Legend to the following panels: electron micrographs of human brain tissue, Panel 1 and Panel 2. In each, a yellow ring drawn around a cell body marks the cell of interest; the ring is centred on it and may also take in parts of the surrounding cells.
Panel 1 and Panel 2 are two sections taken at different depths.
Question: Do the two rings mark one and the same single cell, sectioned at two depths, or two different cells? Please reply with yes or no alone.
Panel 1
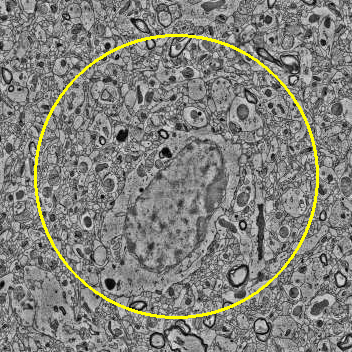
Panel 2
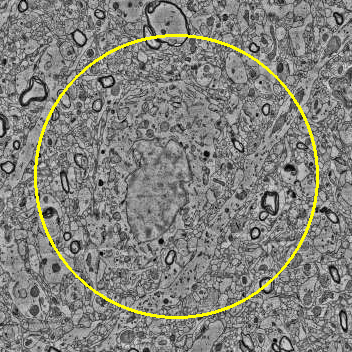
no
